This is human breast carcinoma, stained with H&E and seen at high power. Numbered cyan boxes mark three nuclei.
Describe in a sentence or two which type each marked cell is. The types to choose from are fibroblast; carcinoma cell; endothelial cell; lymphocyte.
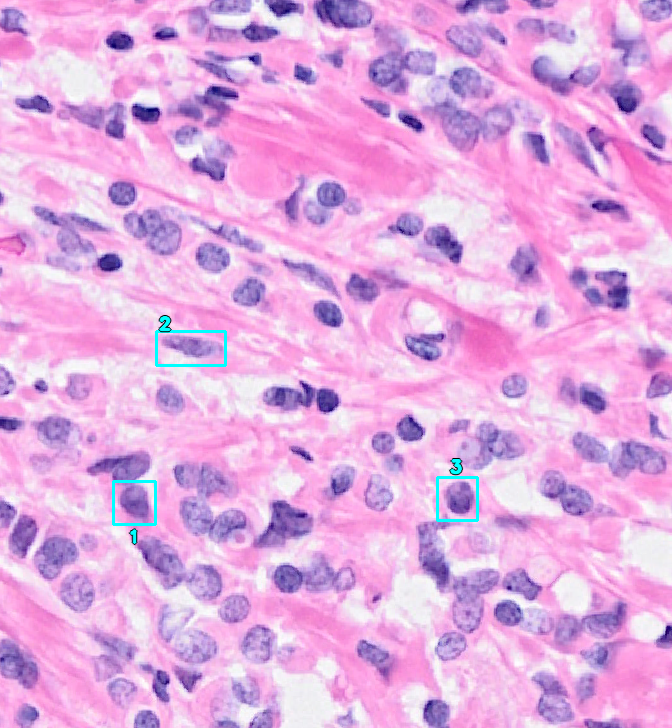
Cells 1 and 3 are carcinoma cells. Cell 2 is a fibroblast.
